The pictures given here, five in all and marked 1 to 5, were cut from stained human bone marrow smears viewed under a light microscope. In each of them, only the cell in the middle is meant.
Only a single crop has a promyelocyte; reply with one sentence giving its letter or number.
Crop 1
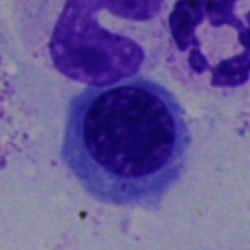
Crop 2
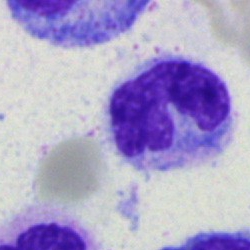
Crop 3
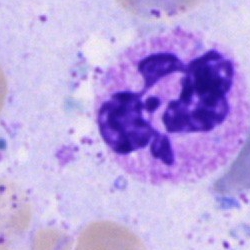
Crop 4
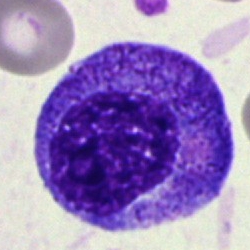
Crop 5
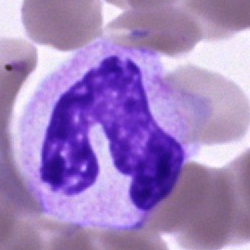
The crop bearing a promyelocyte is crop 4.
